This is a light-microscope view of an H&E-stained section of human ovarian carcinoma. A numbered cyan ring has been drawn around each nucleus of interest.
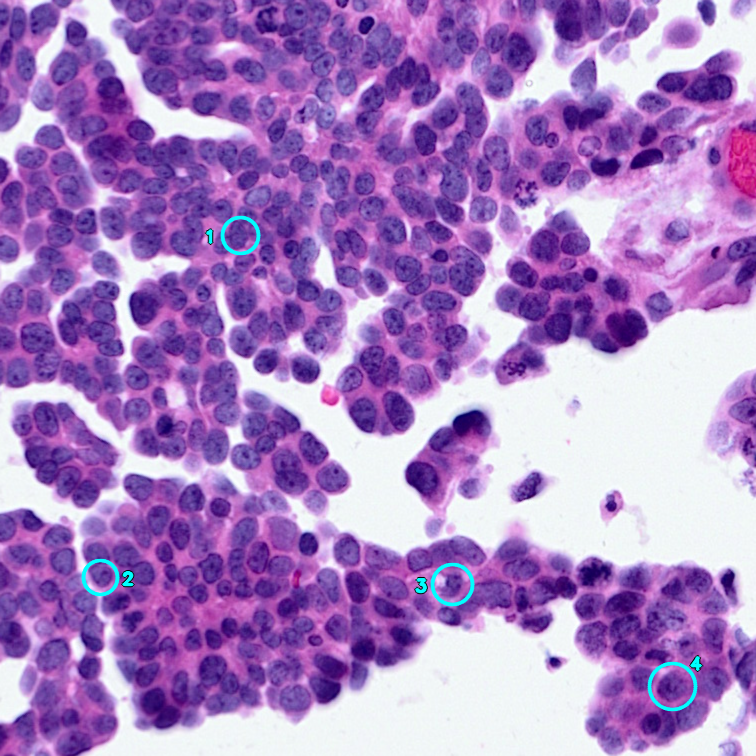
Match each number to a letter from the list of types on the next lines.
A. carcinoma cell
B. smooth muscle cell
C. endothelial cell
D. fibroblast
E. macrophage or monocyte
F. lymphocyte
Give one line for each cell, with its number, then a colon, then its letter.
1: A
2: A
3: E
4: A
